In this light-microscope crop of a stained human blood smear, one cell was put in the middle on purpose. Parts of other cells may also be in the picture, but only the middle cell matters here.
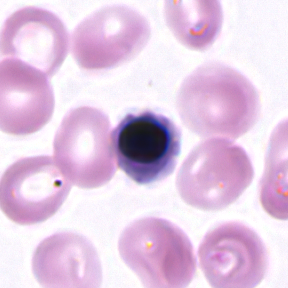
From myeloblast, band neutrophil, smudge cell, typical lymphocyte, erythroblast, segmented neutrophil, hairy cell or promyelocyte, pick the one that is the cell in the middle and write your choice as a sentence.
The cell that lies at the centre of the crop is an erythroblast.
